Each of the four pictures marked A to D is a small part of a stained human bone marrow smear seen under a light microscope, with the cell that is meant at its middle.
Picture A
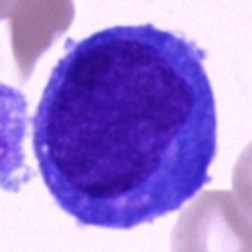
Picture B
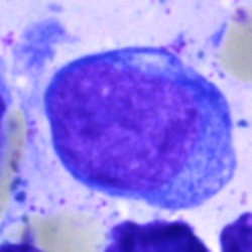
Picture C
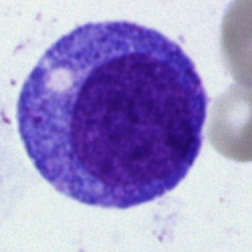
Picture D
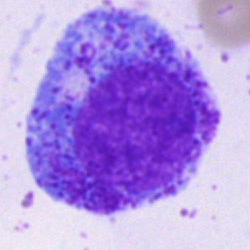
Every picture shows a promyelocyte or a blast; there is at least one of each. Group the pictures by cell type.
A: blast
B: blast
C: promyelocyte
D: promyelocyte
